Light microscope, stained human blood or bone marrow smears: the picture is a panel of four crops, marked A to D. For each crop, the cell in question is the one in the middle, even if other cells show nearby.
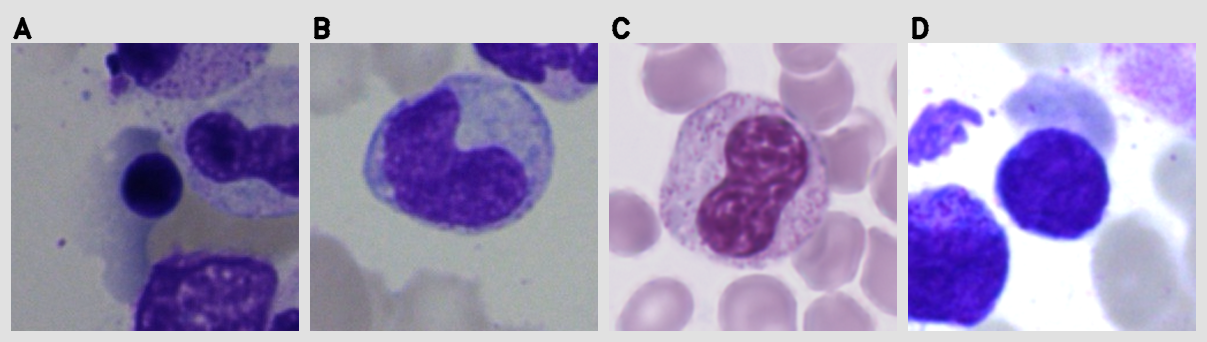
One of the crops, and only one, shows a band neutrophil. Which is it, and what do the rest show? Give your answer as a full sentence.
On the one hand crop B shows a band neutrophil; on the other, crop A is an erythroblast, crop C is a metamyelocyte and crop D is a lymphocyte.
